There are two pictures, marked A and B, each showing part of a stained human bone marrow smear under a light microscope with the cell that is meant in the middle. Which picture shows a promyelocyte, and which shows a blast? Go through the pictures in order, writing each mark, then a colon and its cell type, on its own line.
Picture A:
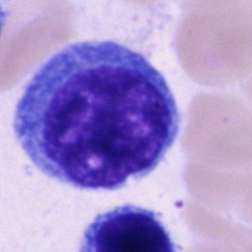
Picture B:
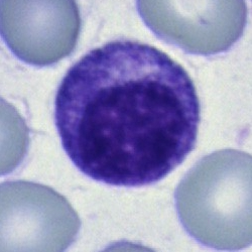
A: blast
B: promyelocyte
